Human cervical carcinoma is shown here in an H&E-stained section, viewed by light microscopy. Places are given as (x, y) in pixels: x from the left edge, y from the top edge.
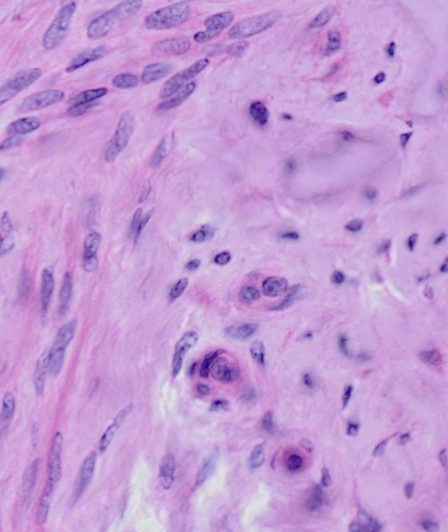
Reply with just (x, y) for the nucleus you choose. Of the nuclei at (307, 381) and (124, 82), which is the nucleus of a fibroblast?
(307, 381)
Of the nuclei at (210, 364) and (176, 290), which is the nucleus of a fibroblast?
(176, 290)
